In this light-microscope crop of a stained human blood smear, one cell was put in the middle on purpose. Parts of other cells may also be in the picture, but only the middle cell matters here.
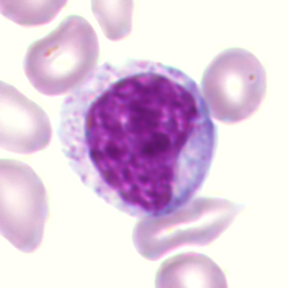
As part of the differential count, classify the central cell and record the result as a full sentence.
The middle of this crop holds a metamyelocyte.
